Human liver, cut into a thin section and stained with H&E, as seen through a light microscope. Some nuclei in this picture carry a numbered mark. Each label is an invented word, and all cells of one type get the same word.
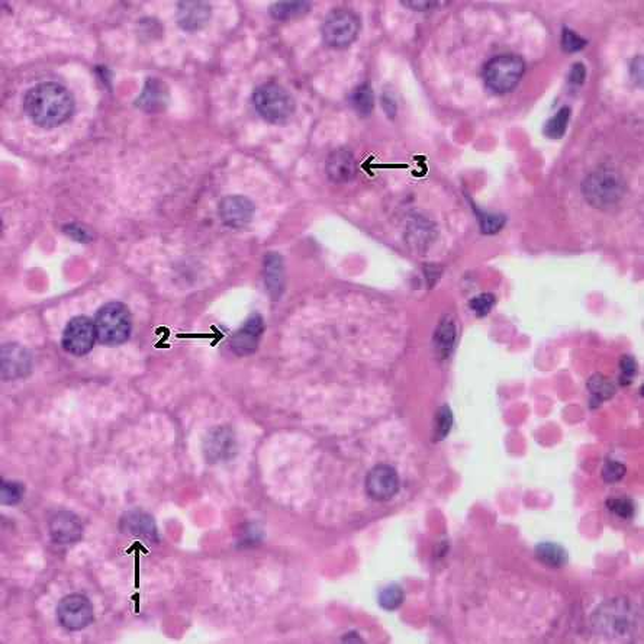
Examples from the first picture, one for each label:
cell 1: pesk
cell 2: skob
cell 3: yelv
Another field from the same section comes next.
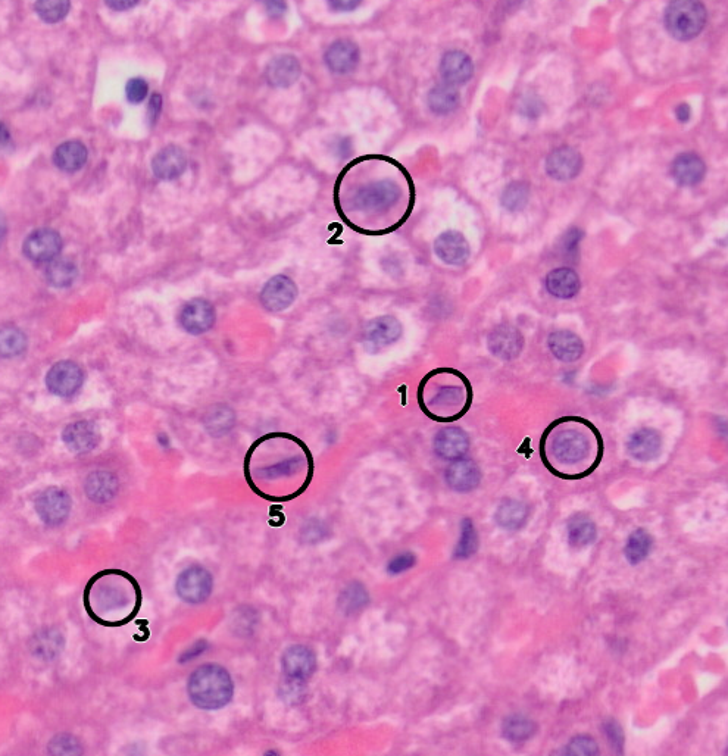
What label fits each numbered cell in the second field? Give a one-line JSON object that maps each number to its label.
{"1": "pesk", "2": "pesk", "3": "yelv", "4": "yelv", "5": "skob"}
